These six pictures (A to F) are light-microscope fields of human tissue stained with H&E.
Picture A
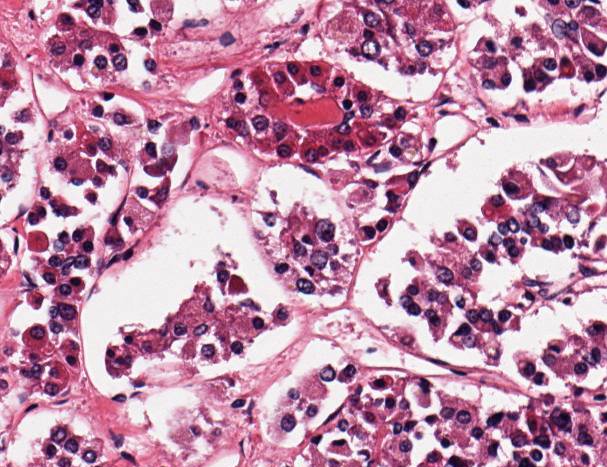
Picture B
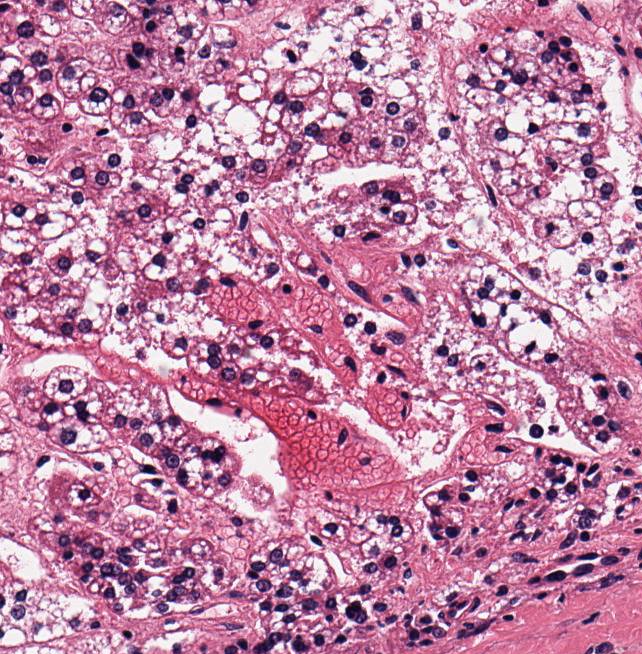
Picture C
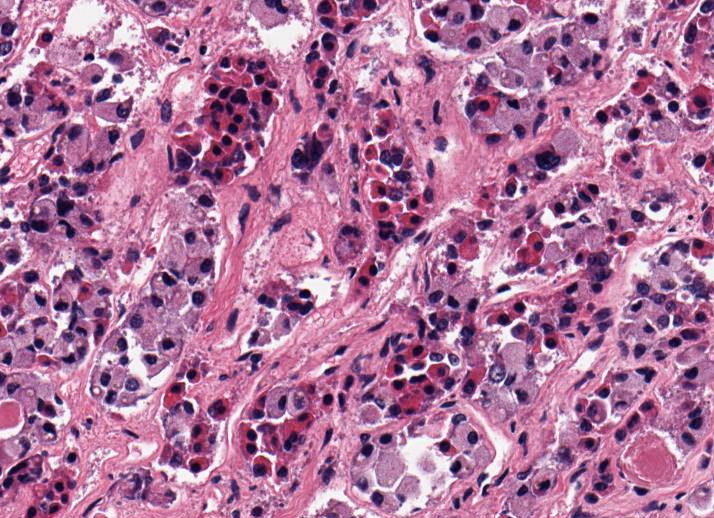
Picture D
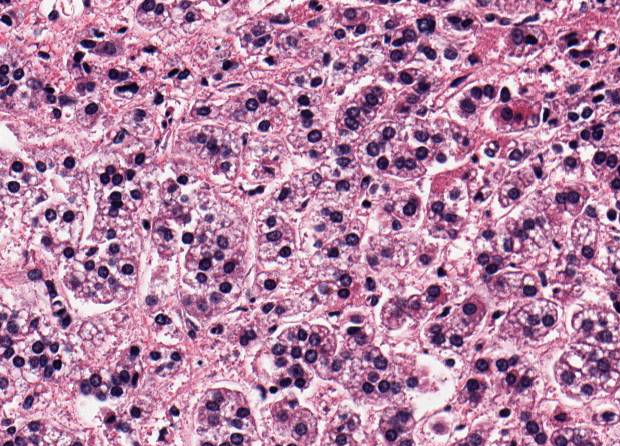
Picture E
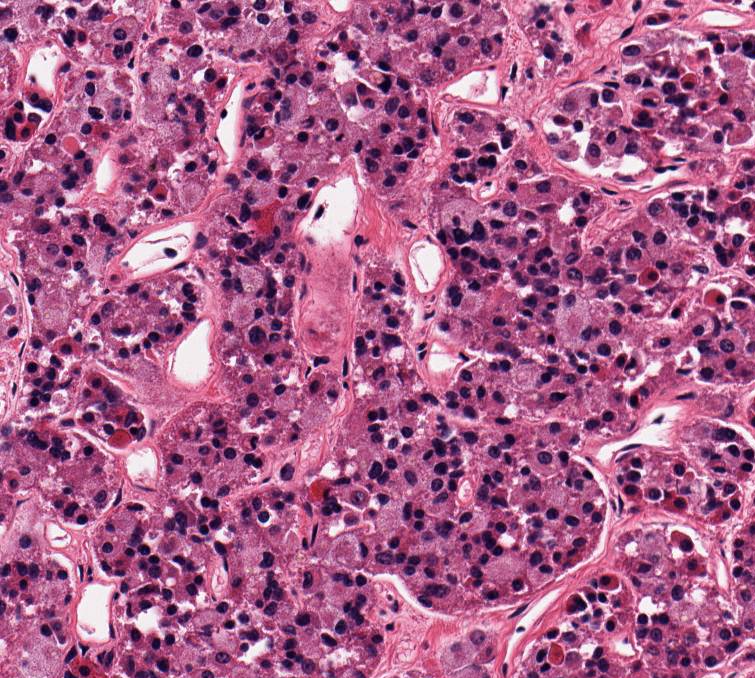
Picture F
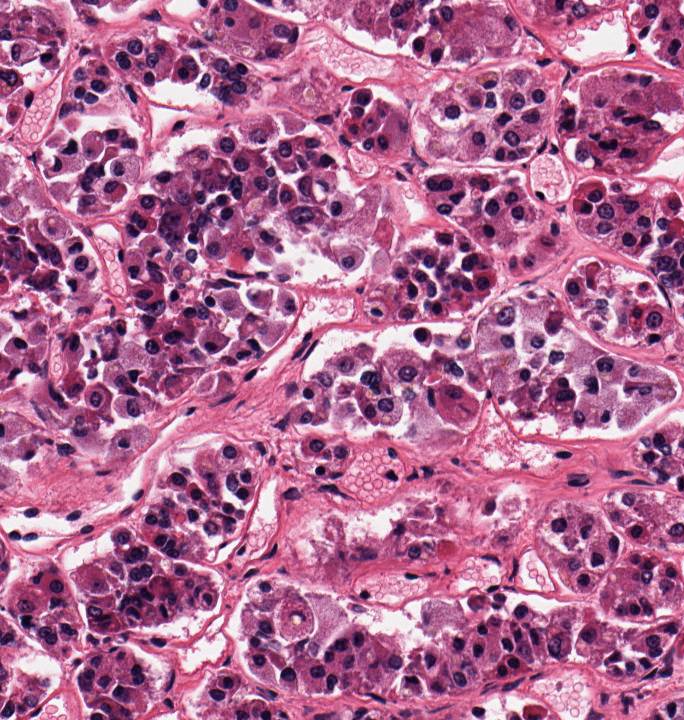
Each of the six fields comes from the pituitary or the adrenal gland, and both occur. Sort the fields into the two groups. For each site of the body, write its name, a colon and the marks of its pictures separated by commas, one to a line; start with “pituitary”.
pituitary: A, C, E, F
adrenal gland: B, D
